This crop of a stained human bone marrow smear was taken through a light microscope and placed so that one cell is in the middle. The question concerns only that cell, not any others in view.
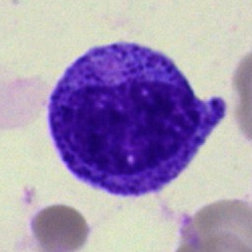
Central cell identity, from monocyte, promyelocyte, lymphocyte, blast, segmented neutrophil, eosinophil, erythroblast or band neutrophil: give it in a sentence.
The cell the crop is centered on is a promyelocyte.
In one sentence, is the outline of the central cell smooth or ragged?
Not smooth, the outline of the cell is ragged or drawn out into projections.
